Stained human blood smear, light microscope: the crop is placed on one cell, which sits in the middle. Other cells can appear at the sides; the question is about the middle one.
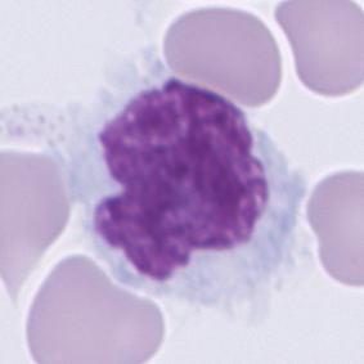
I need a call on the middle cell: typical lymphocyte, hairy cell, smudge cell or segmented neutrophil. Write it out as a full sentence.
The cell centered in this field of view is a hairy cell.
